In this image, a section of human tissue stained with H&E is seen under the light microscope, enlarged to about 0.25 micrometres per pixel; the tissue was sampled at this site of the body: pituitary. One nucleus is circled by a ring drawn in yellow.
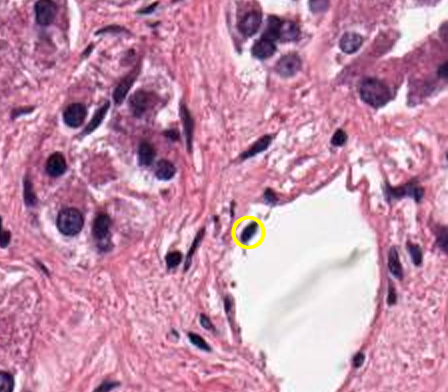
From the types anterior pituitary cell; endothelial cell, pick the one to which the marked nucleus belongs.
endothelial cell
